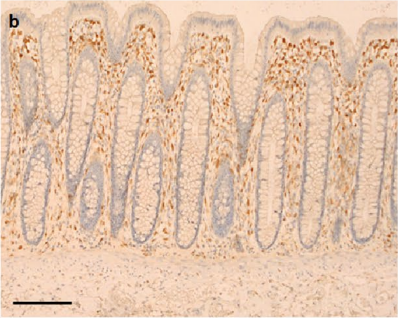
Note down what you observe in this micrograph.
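This is colonic mucosa cut lengthwise, with straight, parallel crypts running from the surface epithelium down towards the base of the mucosa. The crypts are lined by pale epithelium with blue nuclei and stay unstained. Brown-stained cells lie in the connective tissue between the crypts and are most numerous in the upper part of the mucosa near the surface. Paler, looser tissue lies below the crypt bases.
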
